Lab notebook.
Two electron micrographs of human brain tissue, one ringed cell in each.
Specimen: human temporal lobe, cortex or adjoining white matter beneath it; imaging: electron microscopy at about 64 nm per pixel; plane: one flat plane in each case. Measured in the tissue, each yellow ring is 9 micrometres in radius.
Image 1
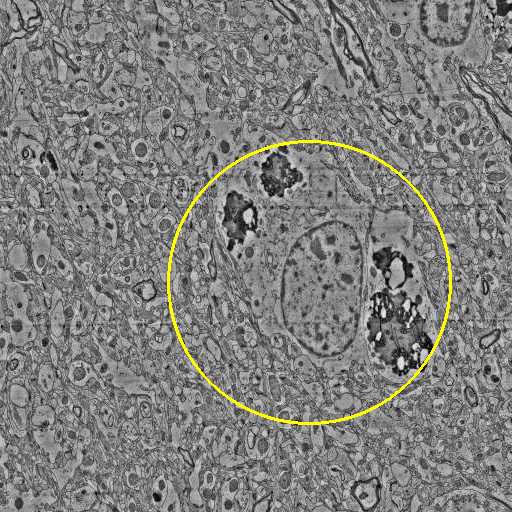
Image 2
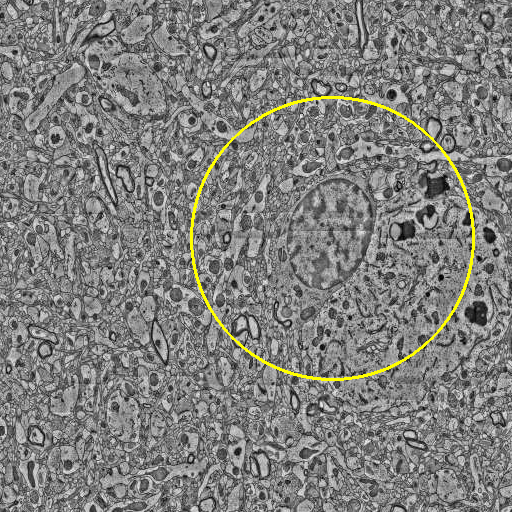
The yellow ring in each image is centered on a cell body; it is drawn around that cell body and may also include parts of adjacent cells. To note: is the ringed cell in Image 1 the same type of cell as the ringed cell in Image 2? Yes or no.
no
